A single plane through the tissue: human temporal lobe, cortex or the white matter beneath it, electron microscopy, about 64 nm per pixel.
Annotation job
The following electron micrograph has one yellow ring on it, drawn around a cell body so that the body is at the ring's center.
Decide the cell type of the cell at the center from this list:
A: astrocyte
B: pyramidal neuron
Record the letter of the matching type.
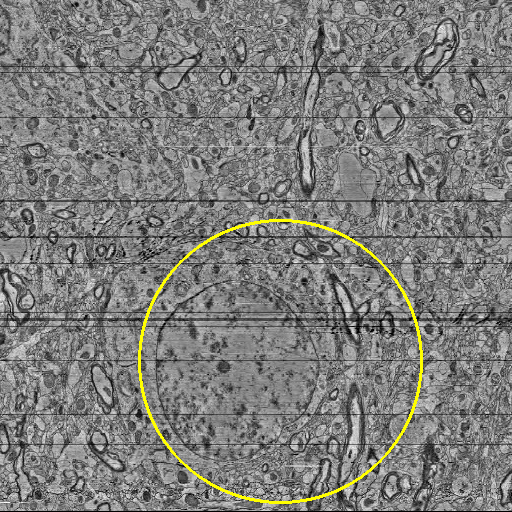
B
